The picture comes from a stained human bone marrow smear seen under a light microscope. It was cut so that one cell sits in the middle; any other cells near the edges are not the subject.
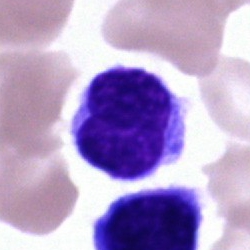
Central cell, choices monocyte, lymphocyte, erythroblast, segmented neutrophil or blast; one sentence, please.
As for the central cell, it is a lymphocyte.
